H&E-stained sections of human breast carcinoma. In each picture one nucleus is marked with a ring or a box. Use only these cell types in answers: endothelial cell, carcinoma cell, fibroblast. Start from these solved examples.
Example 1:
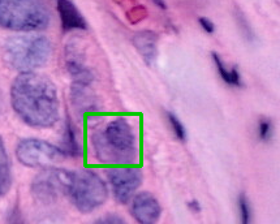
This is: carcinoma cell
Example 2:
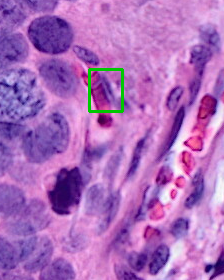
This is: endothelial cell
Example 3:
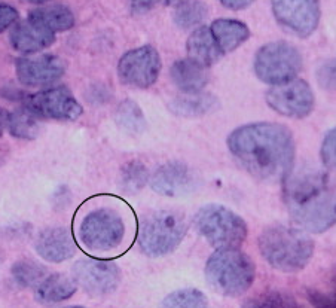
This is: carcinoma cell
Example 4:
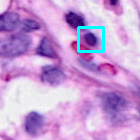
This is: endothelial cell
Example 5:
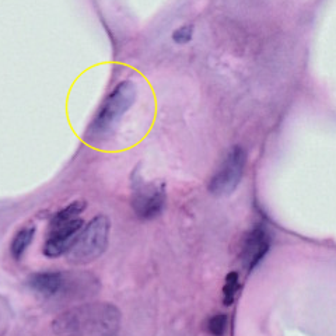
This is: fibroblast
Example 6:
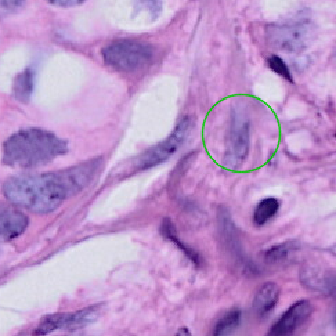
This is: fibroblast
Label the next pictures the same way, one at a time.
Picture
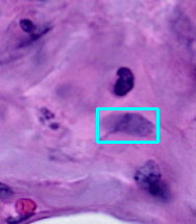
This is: fibroblast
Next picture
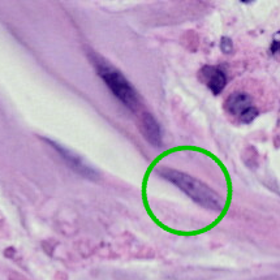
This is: fibroblast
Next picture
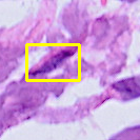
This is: fibroblast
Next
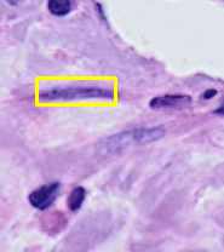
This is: fibroblast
